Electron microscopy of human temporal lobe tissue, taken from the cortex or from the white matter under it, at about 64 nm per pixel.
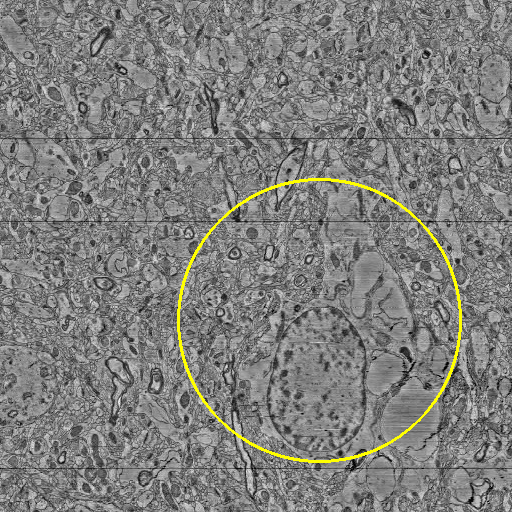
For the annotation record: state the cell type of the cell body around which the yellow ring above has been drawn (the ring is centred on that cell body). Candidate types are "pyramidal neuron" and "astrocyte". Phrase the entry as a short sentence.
The ringed cell is an astrocyte.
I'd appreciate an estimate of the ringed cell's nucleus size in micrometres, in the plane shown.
About 9 by 7 micrometers, in this plane.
